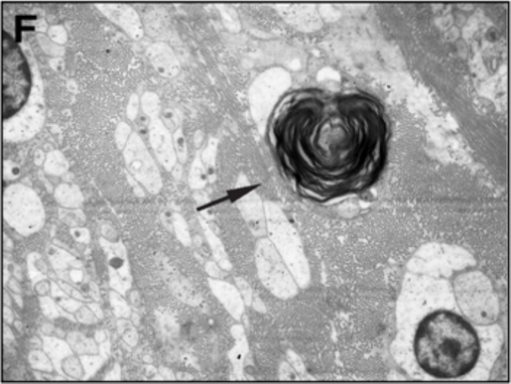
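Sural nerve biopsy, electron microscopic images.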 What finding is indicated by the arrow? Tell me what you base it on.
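The arrow points to a dense dark body of concentric whorled lamellae. The body has no regular axon in its centre.
Hence: myelin debris.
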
